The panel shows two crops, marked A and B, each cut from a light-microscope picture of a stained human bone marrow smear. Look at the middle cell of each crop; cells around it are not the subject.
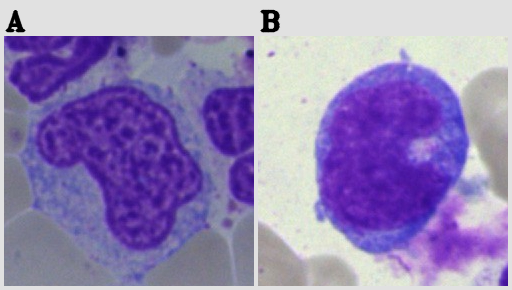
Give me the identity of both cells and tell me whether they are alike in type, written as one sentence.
Yes, the central cells in both of the crops are monocytes.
